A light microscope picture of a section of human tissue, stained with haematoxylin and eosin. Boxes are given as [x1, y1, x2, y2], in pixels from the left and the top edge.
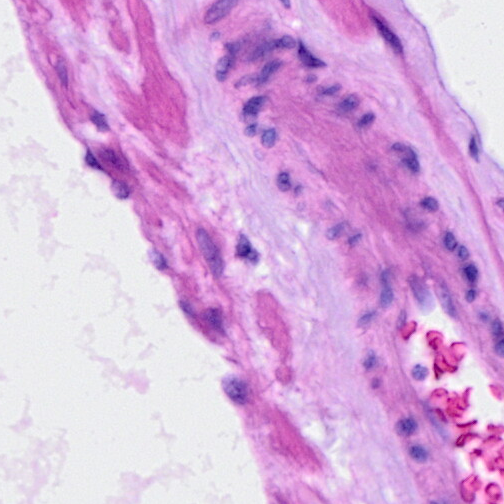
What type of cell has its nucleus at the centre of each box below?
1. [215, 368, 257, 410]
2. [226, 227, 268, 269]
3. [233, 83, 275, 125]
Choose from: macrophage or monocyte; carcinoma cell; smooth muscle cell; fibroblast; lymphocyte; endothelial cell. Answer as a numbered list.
1. endothelial cell
2. macrophage or monocyte
3. smooth muscle cell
